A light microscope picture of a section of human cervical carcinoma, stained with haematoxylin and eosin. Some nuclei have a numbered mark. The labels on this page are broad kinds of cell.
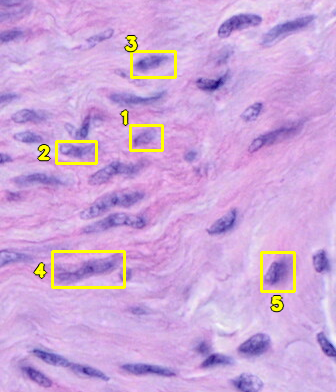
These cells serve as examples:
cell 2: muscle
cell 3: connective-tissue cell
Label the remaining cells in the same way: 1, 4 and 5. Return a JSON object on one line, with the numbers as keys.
{"1": "muscle", "4": "muscle", "5": "connective-tissue cell"}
